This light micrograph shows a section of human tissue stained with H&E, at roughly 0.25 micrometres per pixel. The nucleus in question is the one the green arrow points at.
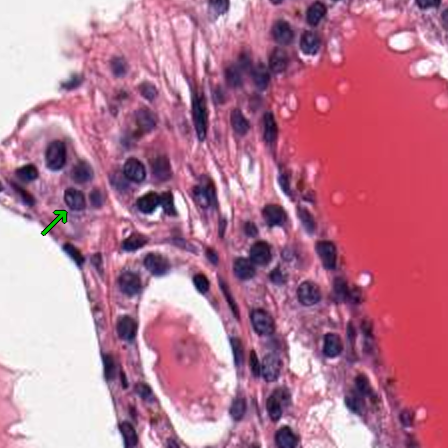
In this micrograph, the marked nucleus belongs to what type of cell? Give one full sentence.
Belonging to a thyroid follicular cell is the marked nucleus.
